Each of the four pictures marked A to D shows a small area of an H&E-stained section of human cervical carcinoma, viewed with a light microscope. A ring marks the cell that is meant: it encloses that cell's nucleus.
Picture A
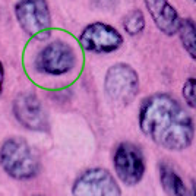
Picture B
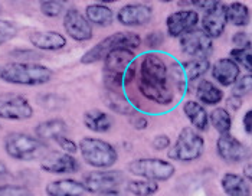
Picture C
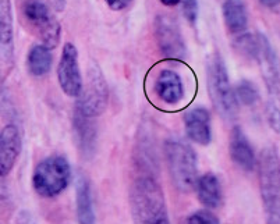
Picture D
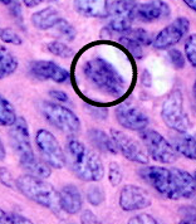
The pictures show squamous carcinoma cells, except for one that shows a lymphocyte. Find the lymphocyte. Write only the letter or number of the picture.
C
